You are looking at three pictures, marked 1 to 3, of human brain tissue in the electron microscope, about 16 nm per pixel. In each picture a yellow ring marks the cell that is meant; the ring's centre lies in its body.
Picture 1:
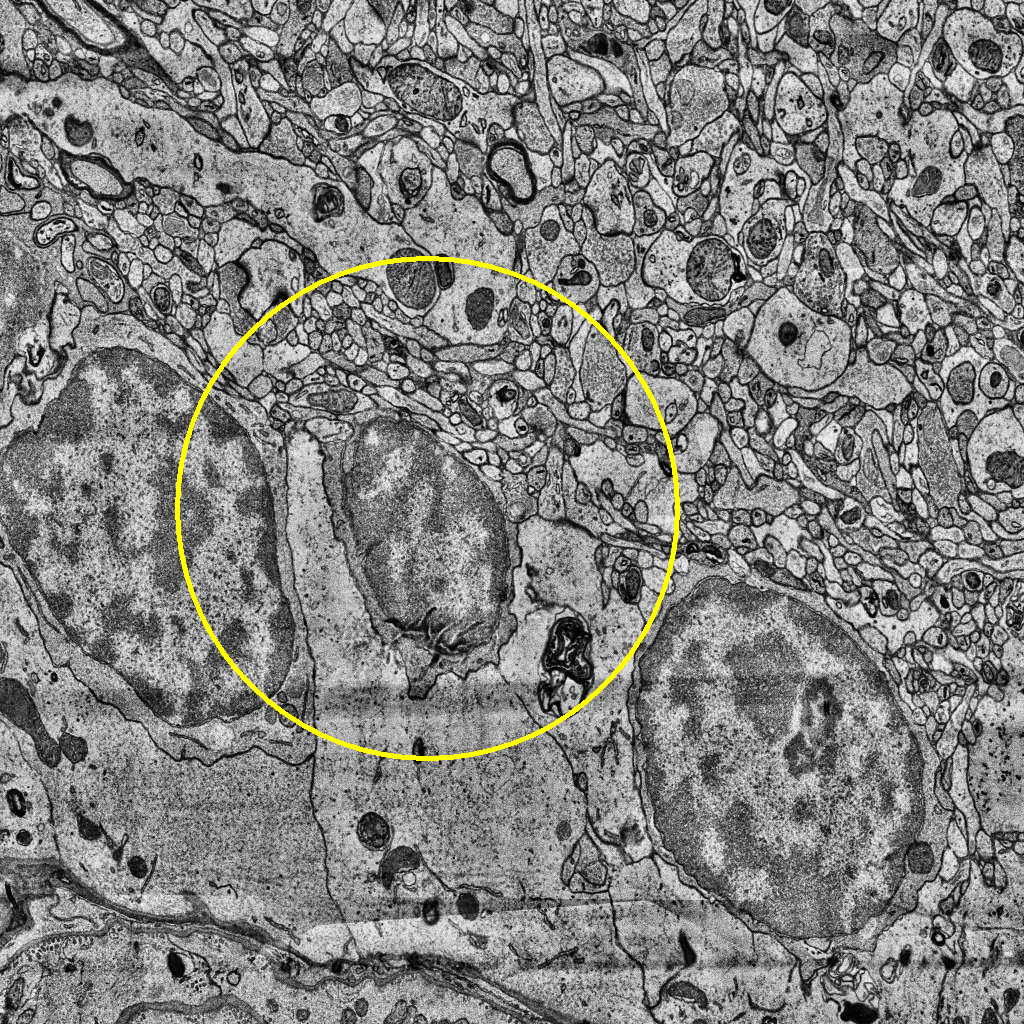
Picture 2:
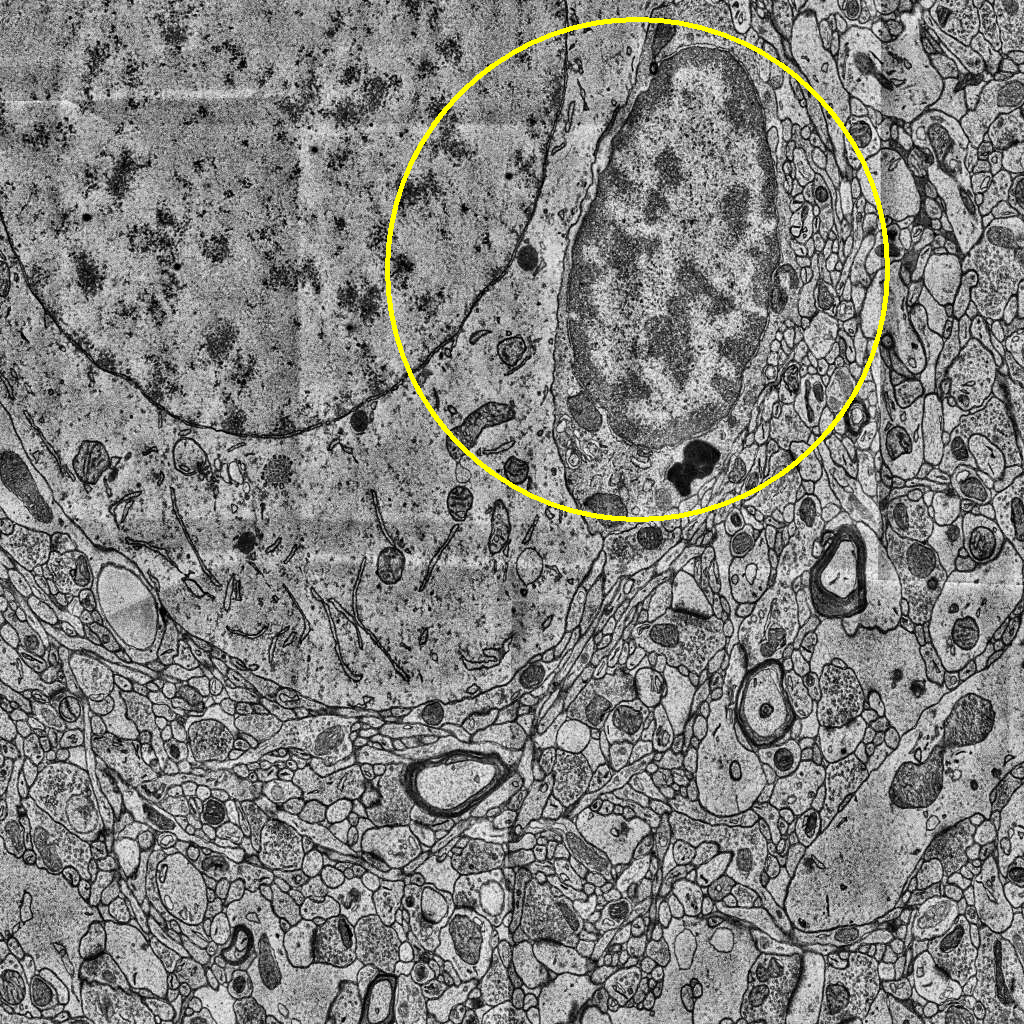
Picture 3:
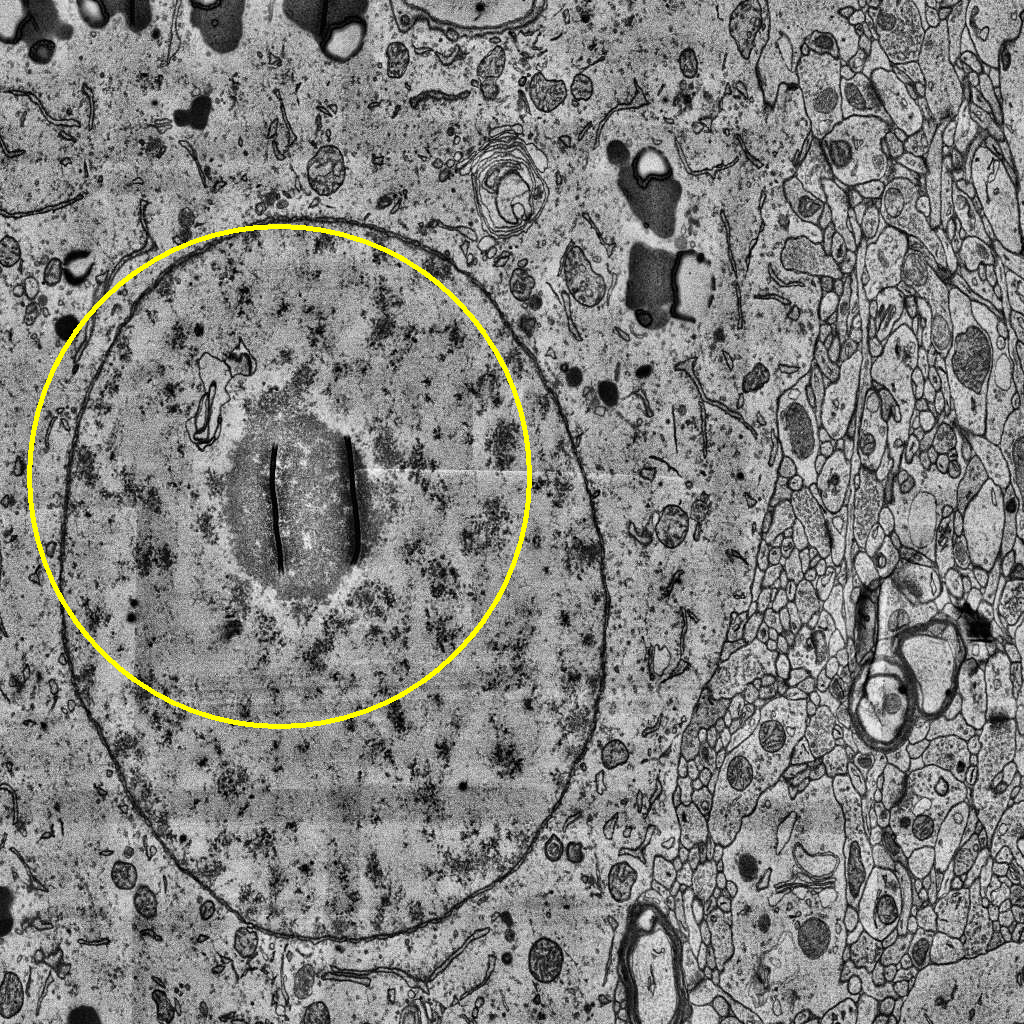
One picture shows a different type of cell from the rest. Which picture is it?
Picture 3 differs, because its cell is a pyramidal neuron and the rest are oligodendrocytes.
